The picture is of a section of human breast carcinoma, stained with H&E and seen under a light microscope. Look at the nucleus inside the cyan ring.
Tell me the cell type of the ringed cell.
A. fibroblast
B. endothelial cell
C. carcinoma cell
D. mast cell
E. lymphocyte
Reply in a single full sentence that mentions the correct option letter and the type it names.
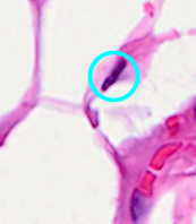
The choice that fits is option A, as the ringed cell is a fibroblast.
